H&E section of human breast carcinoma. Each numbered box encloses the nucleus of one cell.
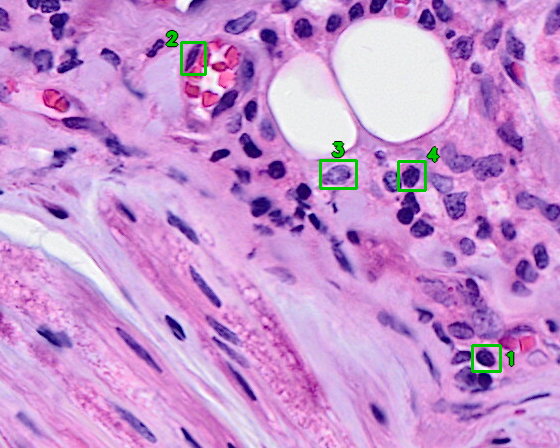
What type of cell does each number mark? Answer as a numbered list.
1. lymphocyte
2. endothelial cell
3. macrophage, monocyte or dendritic cell
4. lymphocyte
